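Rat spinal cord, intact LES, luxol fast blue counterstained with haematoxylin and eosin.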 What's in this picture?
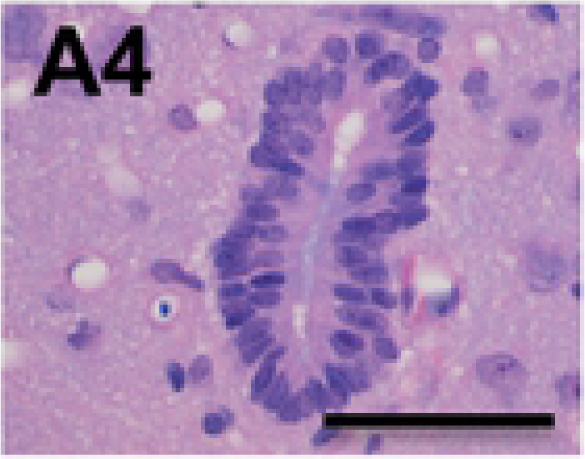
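A narrow, slit-like lumen is lined by elongated, tightly packed cells with dark purple oval nuclei, set within pale pink neural tissue with scattered small nuclei and small vessels. This is the central canal lined by its ependymal cells.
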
